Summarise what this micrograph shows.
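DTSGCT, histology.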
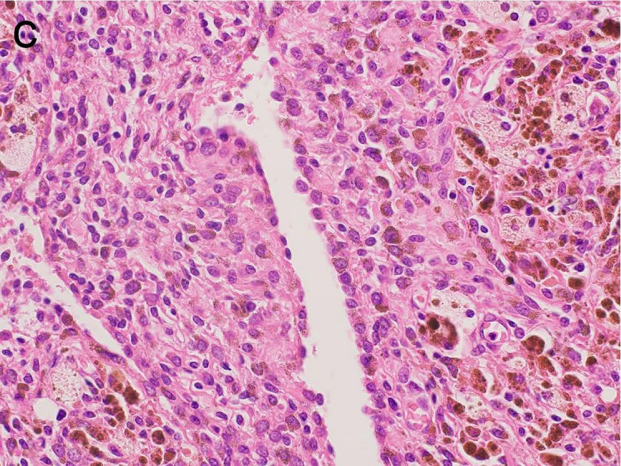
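Sheet of mixed mononuclear cells cut by a narrow cleft-like space. Many cells are packed with coarse golden-brown hemosiderin granules, concentrated on one side of the cleft.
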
